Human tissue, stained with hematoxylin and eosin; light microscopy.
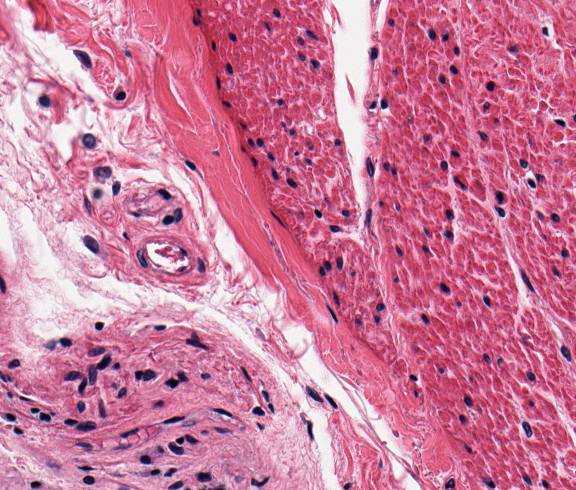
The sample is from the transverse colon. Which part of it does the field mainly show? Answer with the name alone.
smooth muscle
